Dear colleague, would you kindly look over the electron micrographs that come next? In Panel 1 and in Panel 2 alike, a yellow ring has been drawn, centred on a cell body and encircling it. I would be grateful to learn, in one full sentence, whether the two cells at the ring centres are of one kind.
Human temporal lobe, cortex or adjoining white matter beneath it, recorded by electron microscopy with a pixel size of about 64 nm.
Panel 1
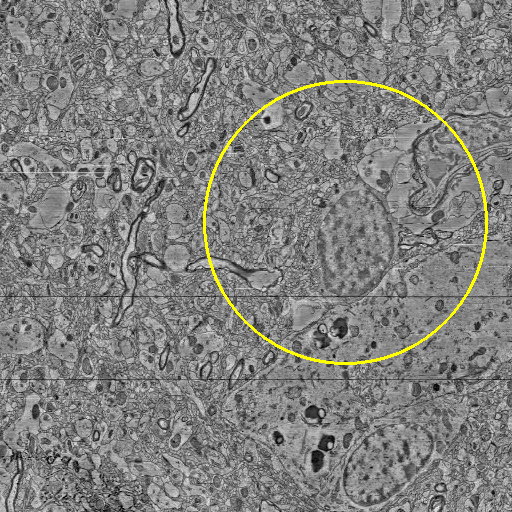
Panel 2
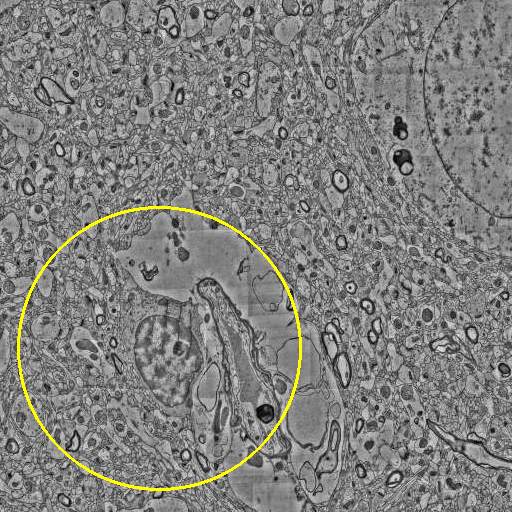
Yes, the cells in the middle of the rings in the two panels are of one kind.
